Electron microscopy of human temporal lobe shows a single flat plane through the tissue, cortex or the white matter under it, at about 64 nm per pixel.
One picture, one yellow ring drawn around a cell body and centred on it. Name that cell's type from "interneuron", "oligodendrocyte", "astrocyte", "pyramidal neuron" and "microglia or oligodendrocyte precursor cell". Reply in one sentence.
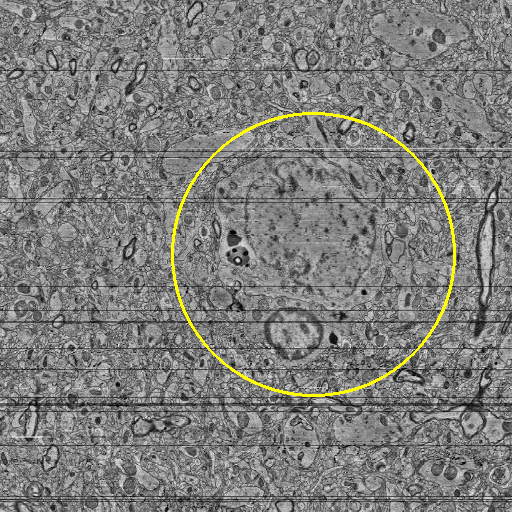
Centred in the ring is an interneuron.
